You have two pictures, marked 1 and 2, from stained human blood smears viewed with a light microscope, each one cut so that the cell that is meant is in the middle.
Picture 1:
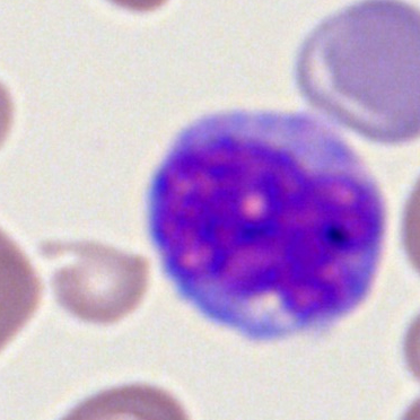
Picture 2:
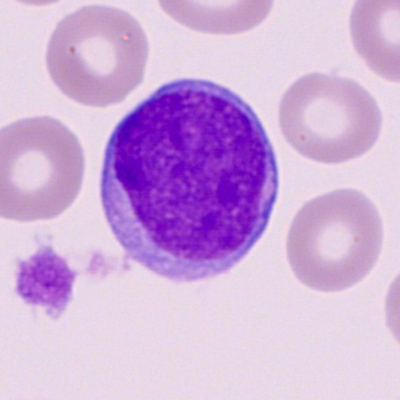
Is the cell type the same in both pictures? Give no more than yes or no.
no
